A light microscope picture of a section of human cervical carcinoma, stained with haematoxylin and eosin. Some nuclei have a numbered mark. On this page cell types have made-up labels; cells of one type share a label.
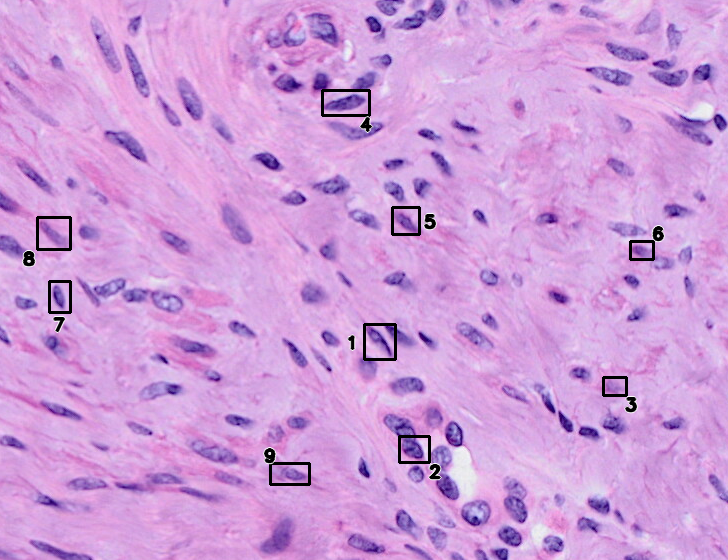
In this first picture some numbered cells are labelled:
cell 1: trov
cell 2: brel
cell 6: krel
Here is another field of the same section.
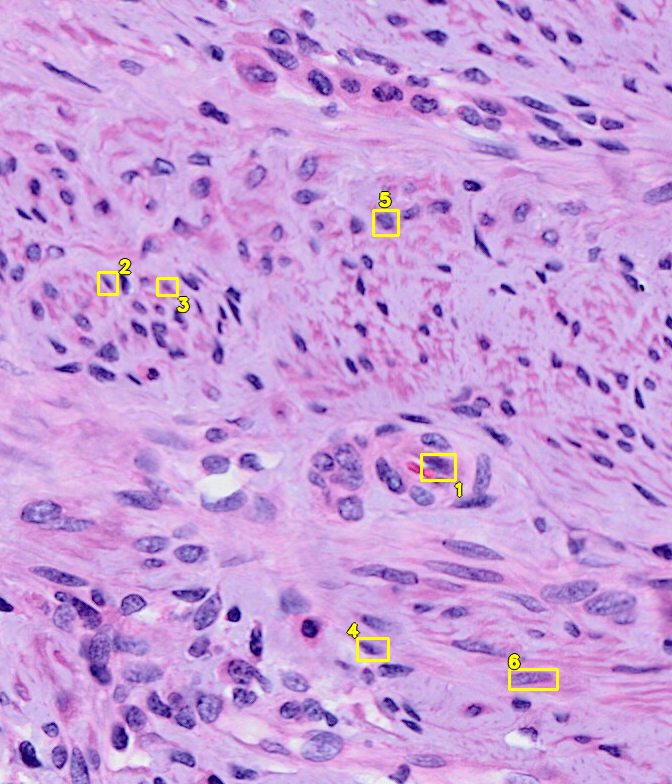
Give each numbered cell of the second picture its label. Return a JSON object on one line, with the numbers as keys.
{"1": "brel", "2": "krel", "3": "krel", "4": "trov", "5": "krel", "6": "krel"}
